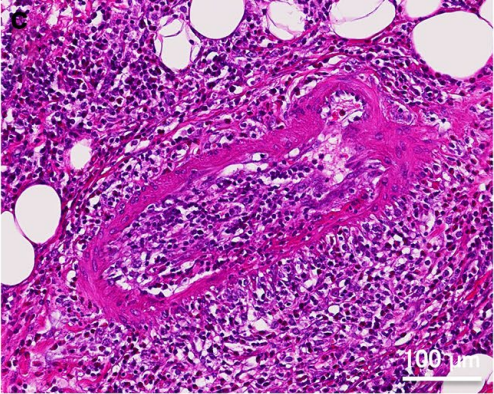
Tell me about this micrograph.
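Small artery whose thickened wall and surroundings are crowded with a dense infiltrate of small round lymphocytes and plasma cells with dark nuclei. The vessel wall forms a pink band of fibrous tissue around a narrowed, irregular lumen that itself contains inflammatory cells. Fat cells appear as clear round spaces at the edges of the field.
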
